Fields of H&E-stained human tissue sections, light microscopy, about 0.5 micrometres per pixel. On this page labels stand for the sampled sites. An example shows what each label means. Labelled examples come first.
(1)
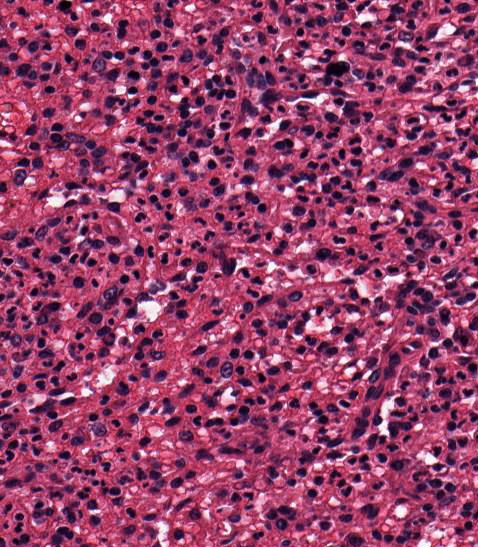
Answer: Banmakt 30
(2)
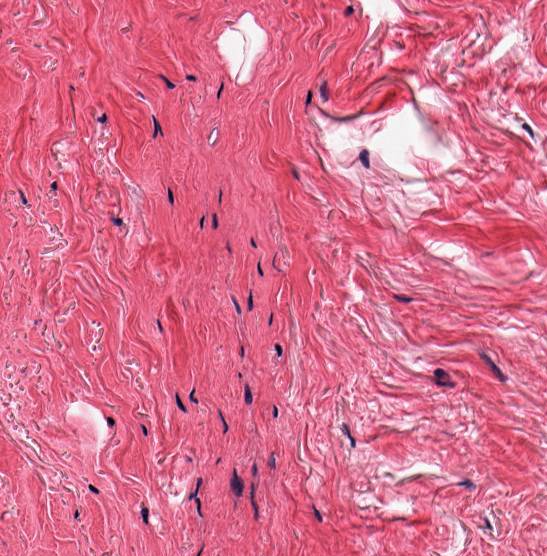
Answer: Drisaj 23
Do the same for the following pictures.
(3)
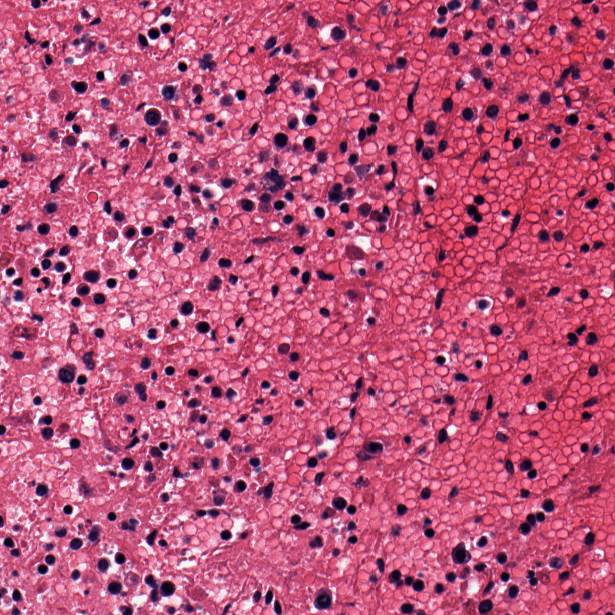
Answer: Banmakt 30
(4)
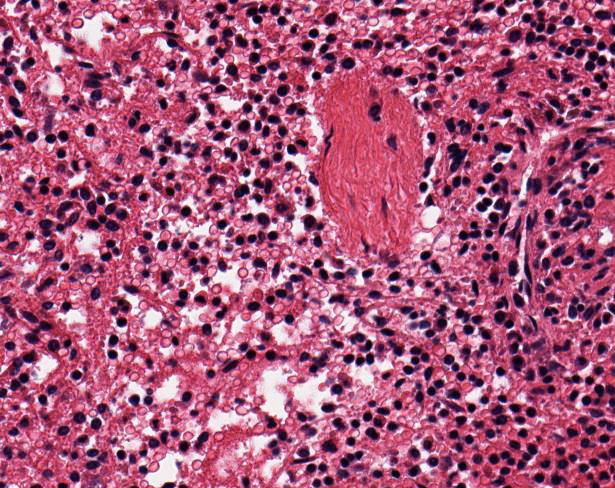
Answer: Banmakt 30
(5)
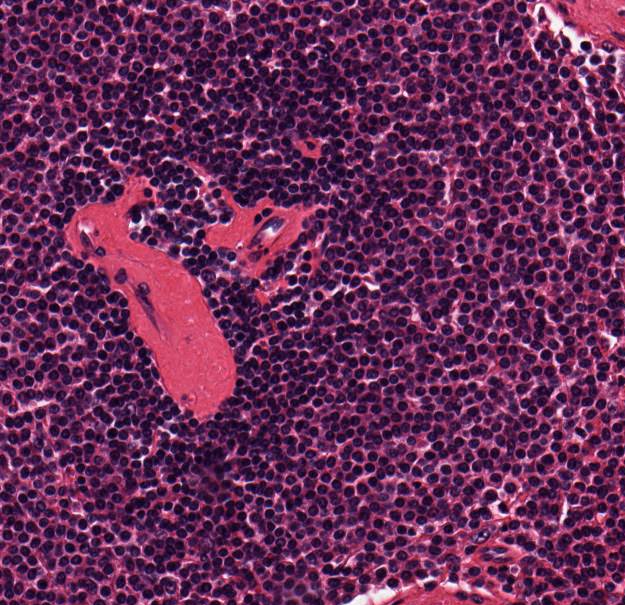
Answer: Banmakt 30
